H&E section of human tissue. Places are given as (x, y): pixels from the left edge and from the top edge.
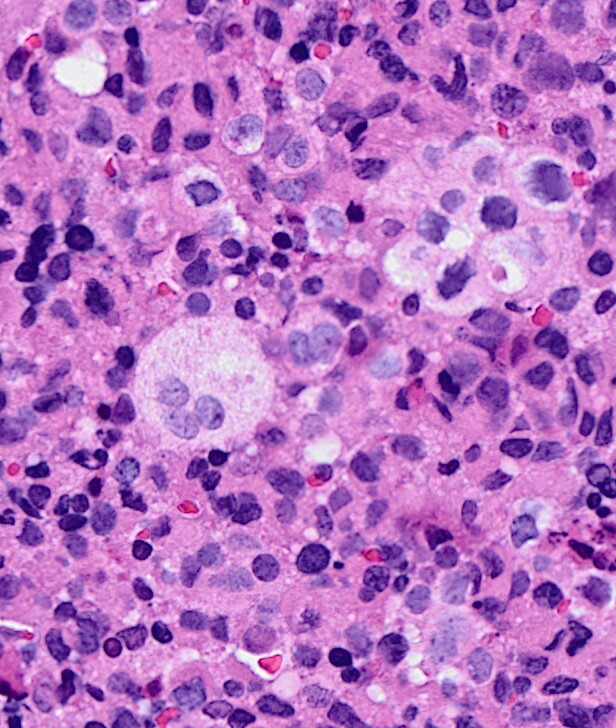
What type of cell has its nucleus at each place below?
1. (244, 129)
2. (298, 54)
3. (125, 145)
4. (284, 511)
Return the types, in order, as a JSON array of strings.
["carcinoma cell", "carcinoma cell", "lymphocyte", "carcinoma cell"]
